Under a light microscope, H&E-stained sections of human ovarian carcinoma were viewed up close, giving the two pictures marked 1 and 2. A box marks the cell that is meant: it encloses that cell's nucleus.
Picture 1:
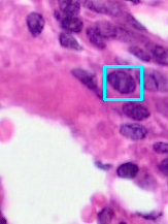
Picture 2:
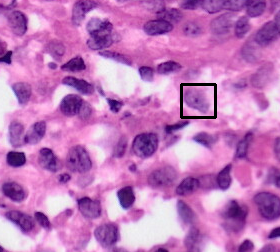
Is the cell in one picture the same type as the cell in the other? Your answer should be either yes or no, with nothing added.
no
